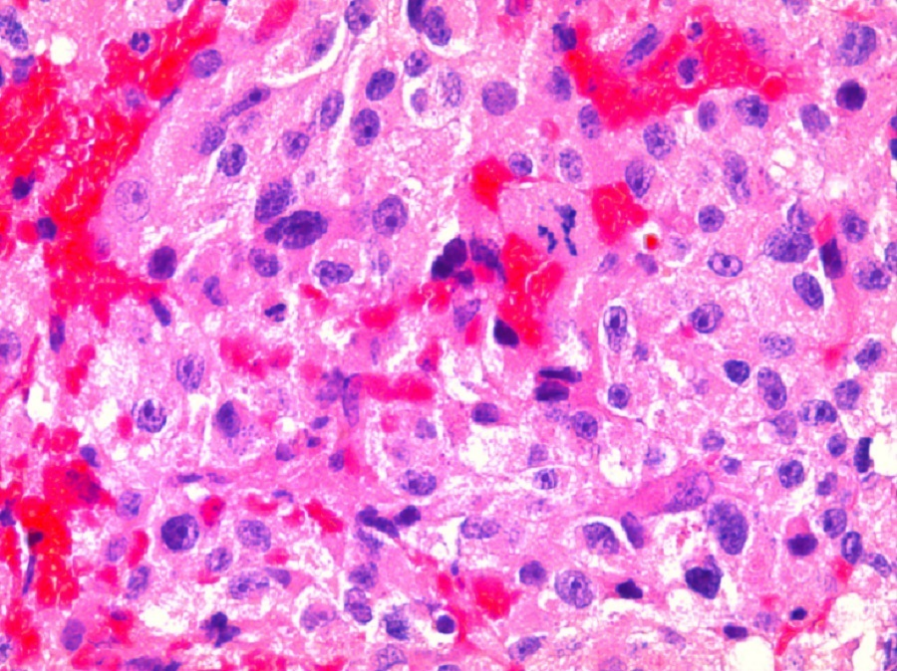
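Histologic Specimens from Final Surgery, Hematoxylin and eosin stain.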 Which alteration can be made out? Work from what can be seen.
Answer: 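Nuclear pleomorphism. Nuclei vary widely in size and shape. Some nuclei are large and darkly stained, others small, oval and pale. A few nuclei are irregular and lobulated.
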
